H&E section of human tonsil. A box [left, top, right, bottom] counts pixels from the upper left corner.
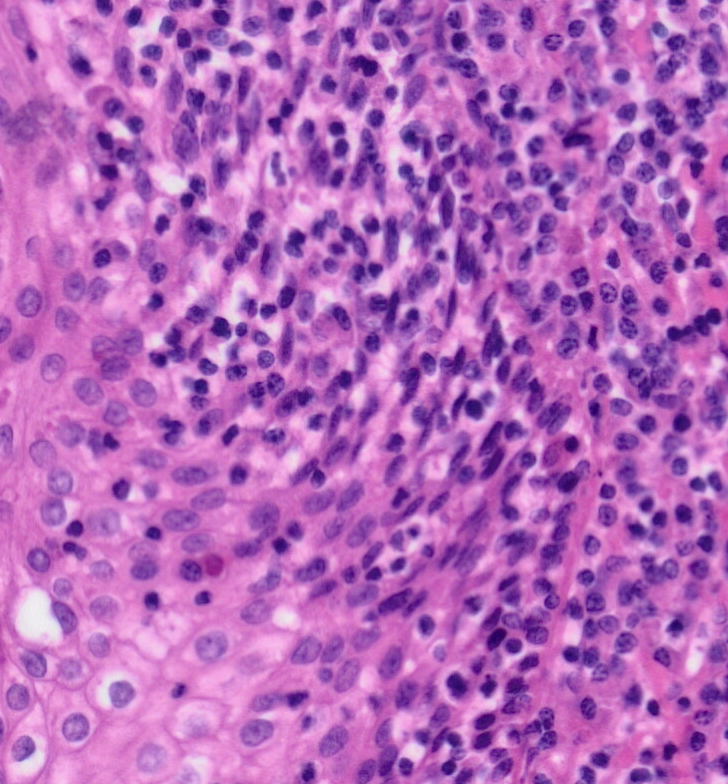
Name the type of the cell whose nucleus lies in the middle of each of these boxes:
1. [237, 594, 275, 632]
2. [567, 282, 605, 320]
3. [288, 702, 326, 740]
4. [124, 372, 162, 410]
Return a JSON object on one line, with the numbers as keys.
{"1": "squamous epithelial cell", "2": "plasma cell", "3": "squamous epithelial cell", "4": "squamous epithelial cell"}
